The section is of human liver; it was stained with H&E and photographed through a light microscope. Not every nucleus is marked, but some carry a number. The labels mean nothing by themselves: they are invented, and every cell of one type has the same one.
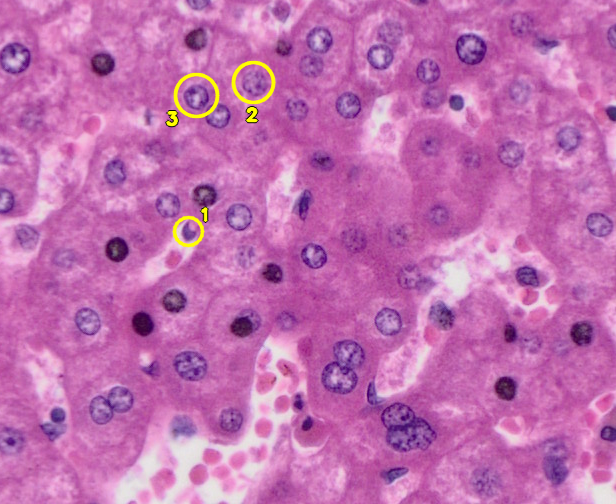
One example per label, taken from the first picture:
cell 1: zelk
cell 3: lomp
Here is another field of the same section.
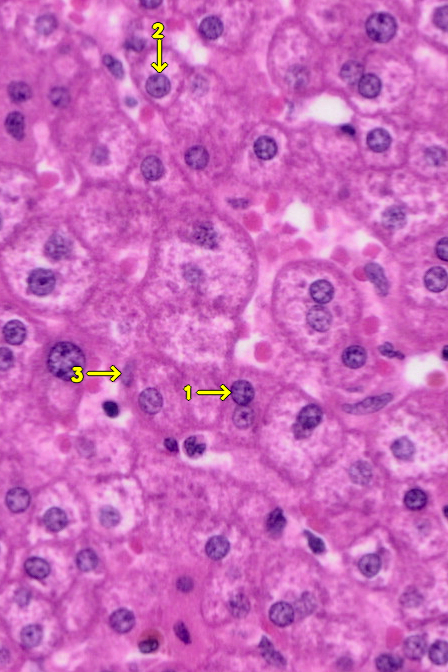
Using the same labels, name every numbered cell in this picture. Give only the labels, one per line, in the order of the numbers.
lomp
lomp
zelk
